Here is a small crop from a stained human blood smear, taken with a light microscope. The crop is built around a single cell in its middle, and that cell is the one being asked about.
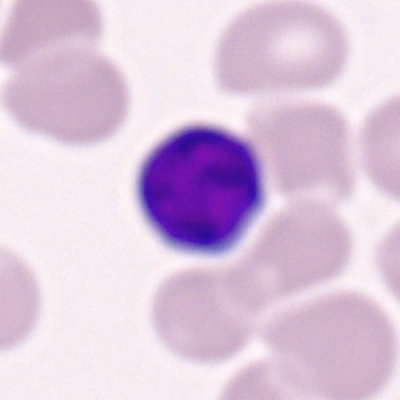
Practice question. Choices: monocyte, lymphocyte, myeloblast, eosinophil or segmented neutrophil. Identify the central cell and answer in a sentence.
The cell centered in this field of view is a lymphocyte.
